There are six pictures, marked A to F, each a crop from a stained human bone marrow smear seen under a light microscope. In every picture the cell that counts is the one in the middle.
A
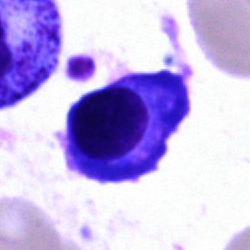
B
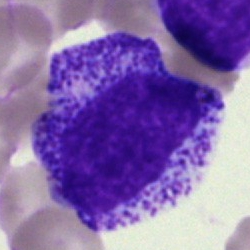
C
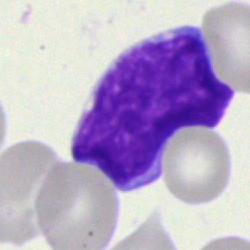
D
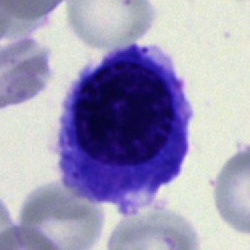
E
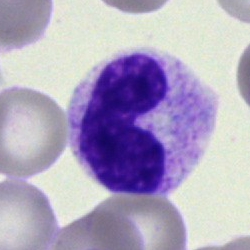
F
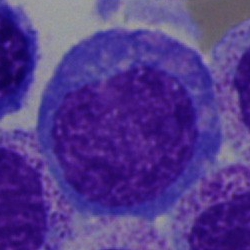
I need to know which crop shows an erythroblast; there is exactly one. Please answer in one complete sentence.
Among the crops, only crop D contains an erythroblast.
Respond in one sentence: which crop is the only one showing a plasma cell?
The one crop in the set with a plasma cell is crop A.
